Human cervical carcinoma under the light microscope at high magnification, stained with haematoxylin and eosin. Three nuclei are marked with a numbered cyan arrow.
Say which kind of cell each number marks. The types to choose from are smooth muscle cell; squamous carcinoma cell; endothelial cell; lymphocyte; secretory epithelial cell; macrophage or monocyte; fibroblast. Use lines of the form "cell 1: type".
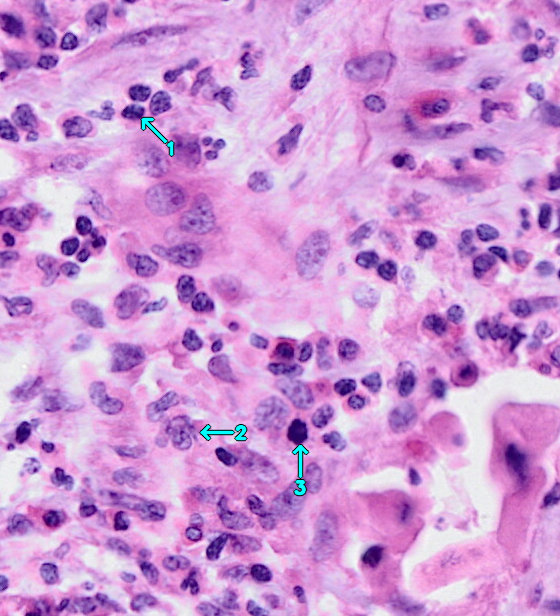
cell 1: lymphocyte
cell 2: macrophage or monocyte
cell 3: lymphocyte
